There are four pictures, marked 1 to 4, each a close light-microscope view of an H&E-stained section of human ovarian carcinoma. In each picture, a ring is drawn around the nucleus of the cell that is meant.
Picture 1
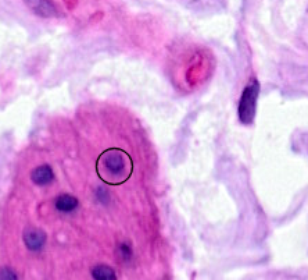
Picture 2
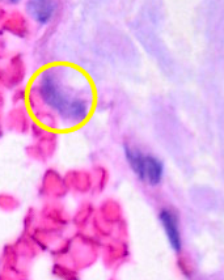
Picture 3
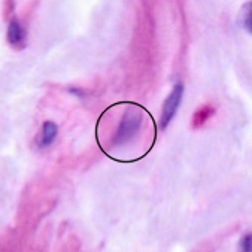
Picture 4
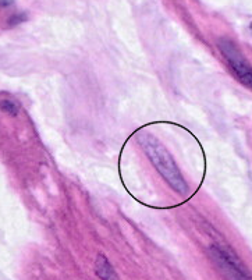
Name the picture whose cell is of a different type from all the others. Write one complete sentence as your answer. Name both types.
Picture 2 is the odd one out: it shows an endothelial cell, while the others show smooth muscle cells.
